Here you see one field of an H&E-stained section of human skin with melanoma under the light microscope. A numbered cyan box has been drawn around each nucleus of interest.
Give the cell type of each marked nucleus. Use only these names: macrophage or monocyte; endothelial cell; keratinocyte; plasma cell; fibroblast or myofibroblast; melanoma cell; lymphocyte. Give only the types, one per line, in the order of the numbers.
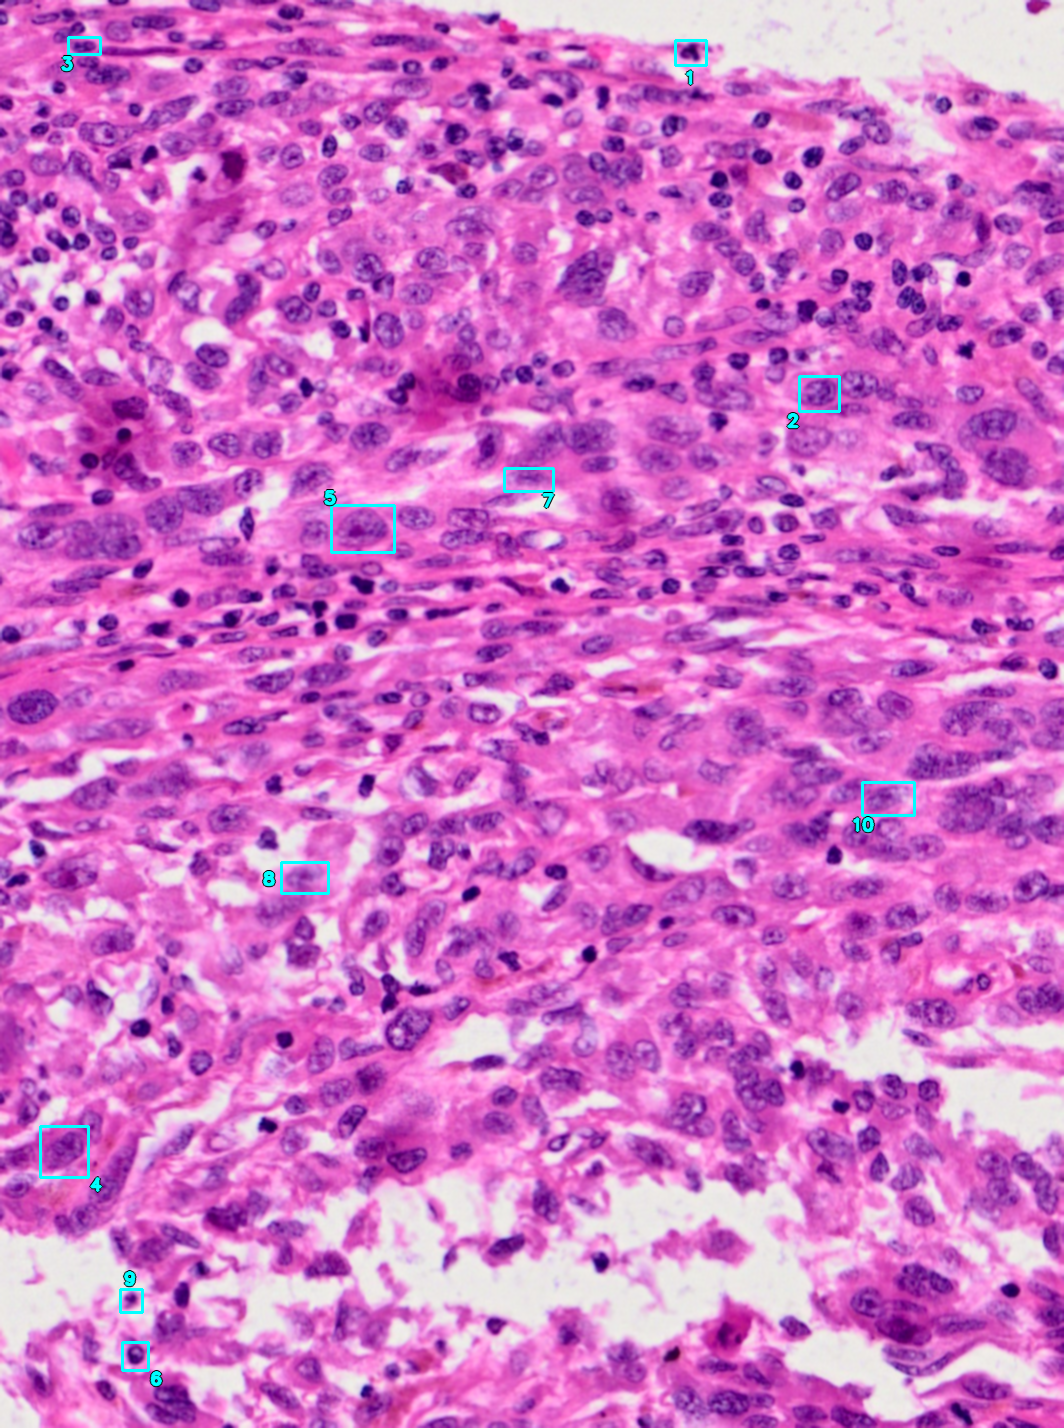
lymphocyte
melanoma cell
lymphocyte
melanoma cell
melanoma cell
lymphocyte
melanoma cell
melanoma cell
lymphocyte
melanoma cell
